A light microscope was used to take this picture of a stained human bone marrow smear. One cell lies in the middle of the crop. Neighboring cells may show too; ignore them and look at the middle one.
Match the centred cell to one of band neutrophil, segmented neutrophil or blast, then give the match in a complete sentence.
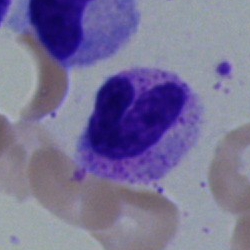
Here the cell in the middle is a band neutrophil.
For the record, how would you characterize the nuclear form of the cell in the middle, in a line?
Between us, the nucleus here is just one compact mass, round, oval or kidney-shaped.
